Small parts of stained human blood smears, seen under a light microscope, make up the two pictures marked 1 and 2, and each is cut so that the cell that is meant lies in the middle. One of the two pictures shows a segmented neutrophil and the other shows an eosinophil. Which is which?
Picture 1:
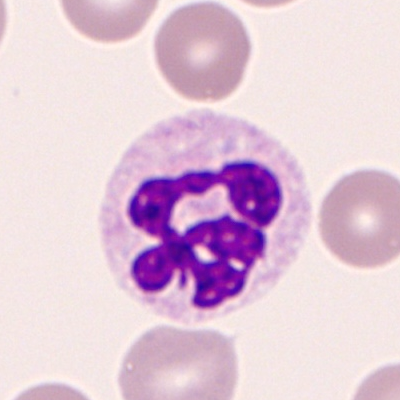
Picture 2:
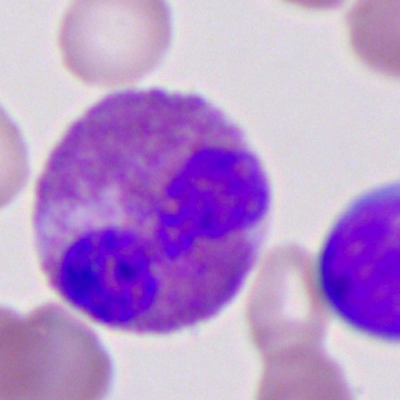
1: segmented neutrophil
2: eosinophil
